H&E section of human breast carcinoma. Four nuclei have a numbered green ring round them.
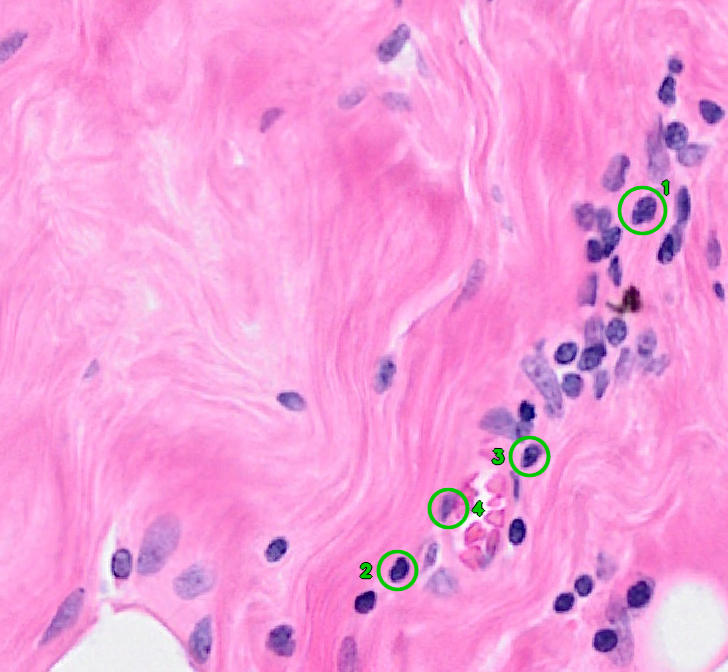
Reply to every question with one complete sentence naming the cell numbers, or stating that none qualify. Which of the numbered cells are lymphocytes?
Each of the cells numbered 1, 2 and 3 is among the lymphocytes.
